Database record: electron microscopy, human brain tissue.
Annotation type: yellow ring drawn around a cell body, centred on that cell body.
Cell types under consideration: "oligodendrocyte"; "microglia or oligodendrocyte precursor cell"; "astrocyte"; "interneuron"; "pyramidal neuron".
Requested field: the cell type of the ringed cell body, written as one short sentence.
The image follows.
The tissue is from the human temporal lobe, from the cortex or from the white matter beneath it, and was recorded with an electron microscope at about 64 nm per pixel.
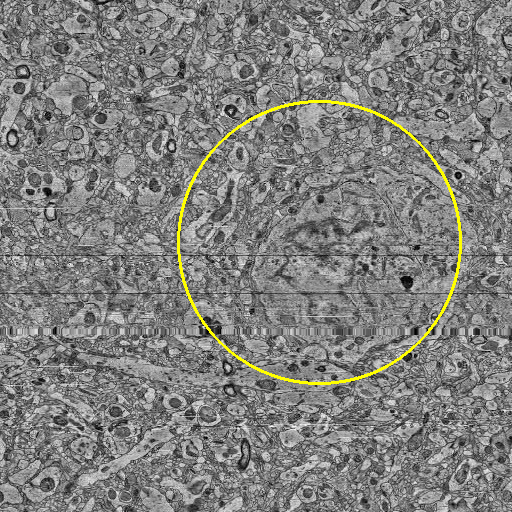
The ringed cell body represents an interneuron.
